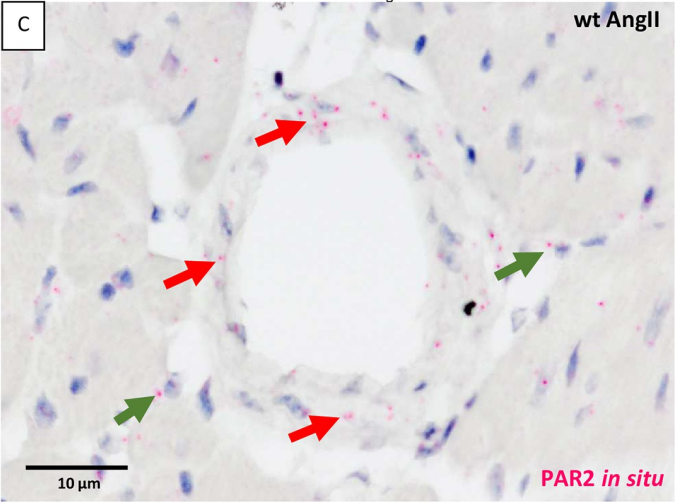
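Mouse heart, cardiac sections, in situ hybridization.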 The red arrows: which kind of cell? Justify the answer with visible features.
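Vascular smooth muscle cells. The arrows point into the wall surrounding a round vessel lumen. The wall holds elongated nuclei arranged around the lumen.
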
